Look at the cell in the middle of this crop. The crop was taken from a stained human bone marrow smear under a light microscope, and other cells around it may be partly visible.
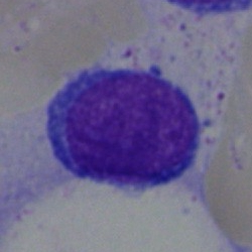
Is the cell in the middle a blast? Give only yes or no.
yes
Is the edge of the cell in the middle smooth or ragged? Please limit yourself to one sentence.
The outline of this cell is not smooth but ragged or drawn out into projections.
